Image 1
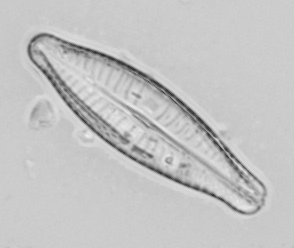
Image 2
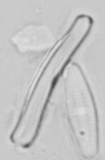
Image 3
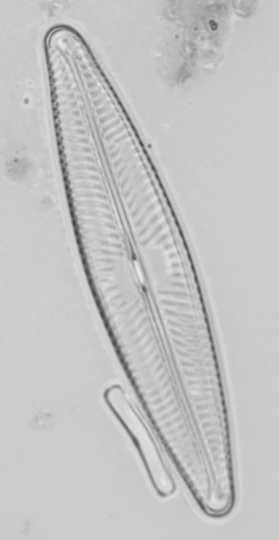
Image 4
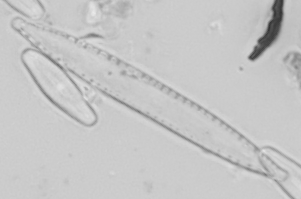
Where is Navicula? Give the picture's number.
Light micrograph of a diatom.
3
